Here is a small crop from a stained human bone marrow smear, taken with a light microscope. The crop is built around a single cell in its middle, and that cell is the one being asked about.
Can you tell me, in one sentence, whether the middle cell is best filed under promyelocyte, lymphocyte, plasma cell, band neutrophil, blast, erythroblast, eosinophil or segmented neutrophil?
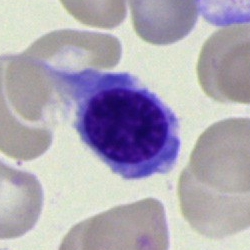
The single cell at the center of the crop is an erythroblast.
